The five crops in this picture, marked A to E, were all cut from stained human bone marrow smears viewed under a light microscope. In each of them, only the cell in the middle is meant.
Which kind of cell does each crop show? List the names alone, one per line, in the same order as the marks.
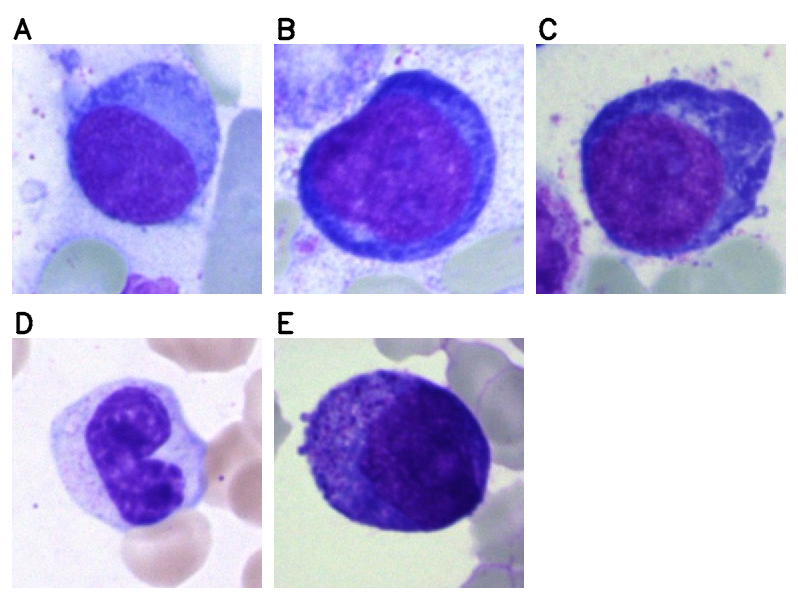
hairy cell
proerythroblast
proerythroblast
metamyelocyte
promyelocyte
